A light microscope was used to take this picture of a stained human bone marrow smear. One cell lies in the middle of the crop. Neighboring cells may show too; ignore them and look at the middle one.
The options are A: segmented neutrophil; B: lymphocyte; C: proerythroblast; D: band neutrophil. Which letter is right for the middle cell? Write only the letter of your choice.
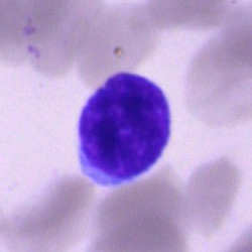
B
